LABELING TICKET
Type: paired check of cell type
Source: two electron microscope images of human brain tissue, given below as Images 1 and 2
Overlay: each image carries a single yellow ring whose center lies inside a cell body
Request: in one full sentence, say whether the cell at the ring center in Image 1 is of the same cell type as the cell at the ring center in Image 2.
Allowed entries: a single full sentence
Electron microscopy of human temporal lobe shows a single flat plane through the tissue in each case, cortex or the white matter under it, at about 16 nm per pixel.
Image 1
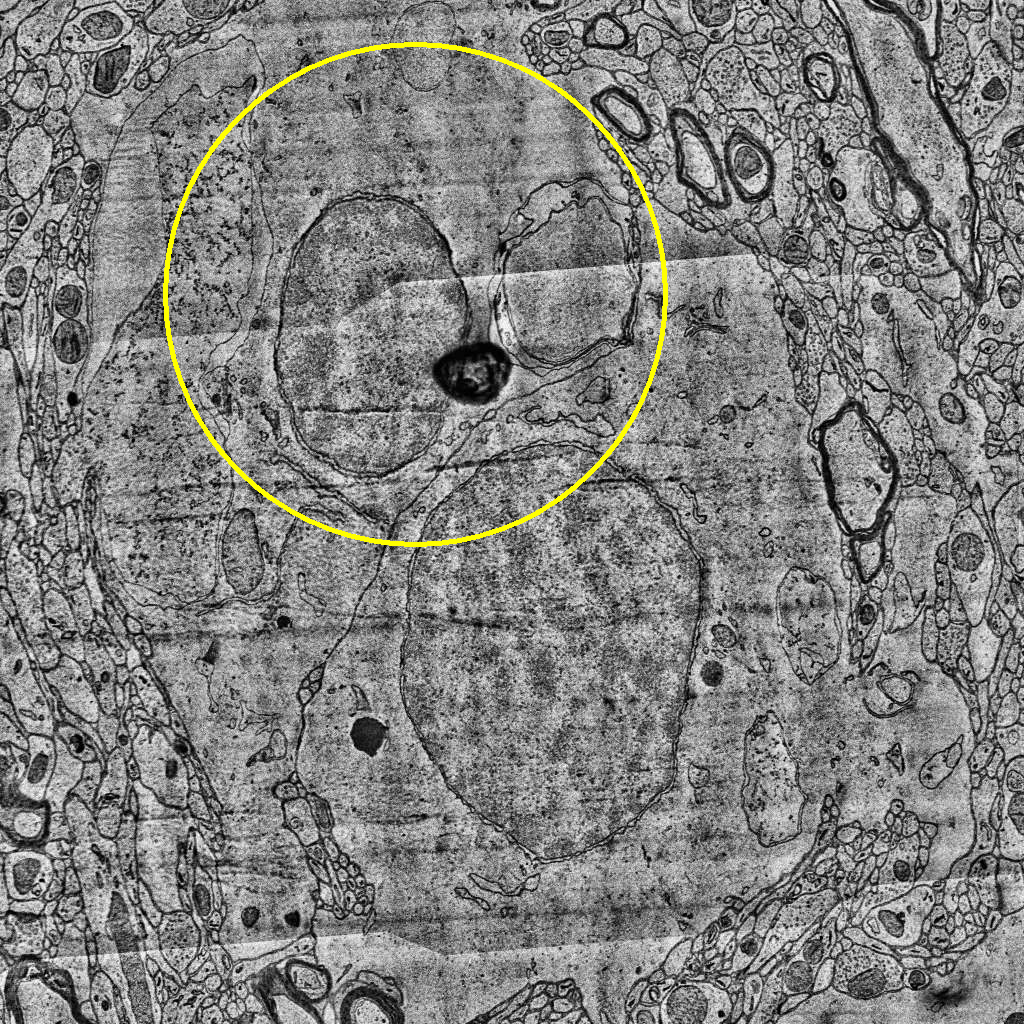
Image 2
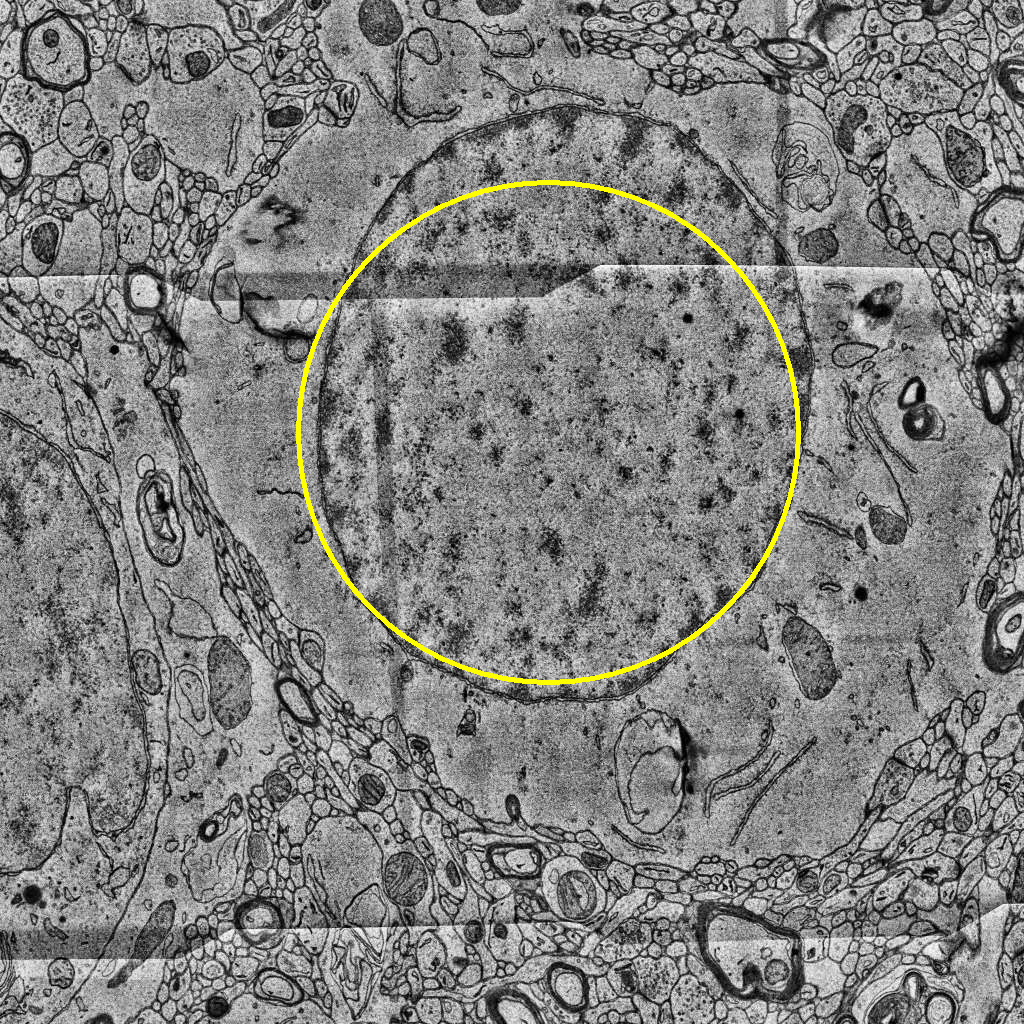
Yes, the cells at the ring centers of Image 1 and Image 2 share one type.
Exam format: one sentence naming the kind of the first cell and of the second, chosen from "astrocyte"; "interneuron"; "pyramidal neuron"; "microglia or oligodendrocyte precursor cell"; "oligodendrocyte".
Each of the two cells is an astrocyte.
